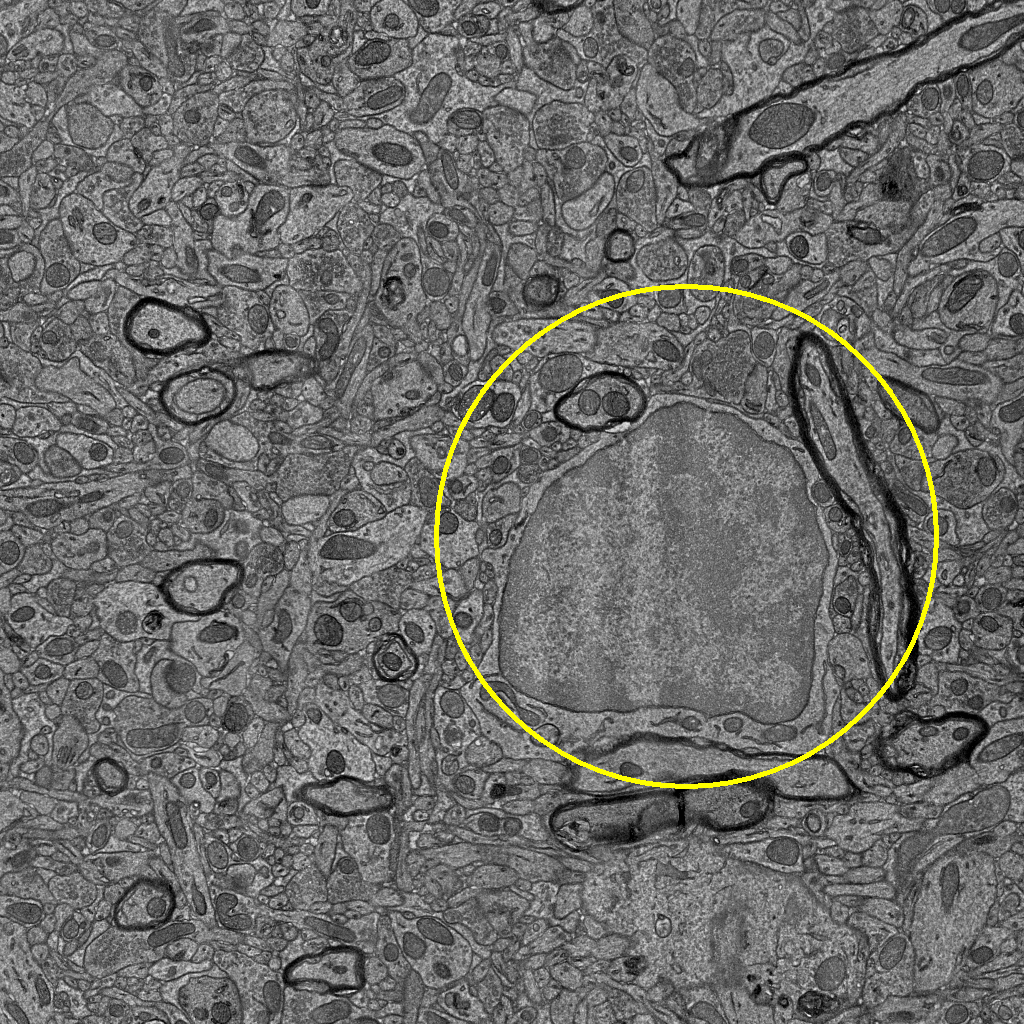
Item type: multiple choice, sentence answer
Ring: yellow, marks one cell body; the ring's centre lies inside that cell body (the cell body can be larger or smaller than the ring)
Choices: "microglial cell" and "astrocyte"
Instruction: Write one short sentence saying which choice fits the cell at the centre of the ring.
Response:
The centre of this ring lies on a microglial cell.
